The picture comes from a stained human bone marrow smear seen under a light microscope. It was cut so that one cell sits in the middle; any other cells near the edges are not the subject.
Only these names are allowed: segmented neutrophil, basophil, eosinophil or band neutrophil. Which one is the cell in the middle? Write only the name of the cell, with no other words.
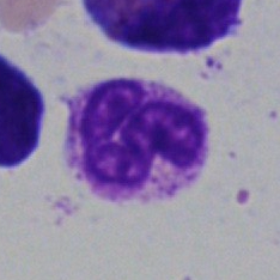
segmented neutrophil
